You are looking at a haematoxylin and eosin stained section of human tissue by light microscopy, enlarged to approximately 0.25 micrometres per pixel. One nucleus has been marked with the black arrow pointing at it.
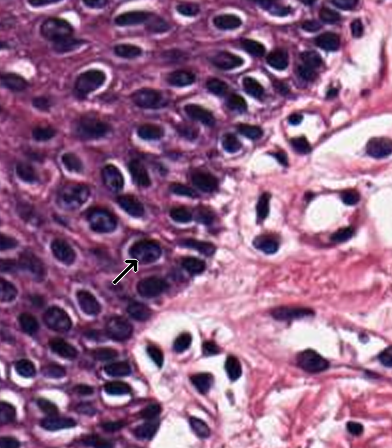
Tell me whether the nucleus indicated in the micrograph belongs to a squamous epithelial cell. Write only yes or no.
yes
